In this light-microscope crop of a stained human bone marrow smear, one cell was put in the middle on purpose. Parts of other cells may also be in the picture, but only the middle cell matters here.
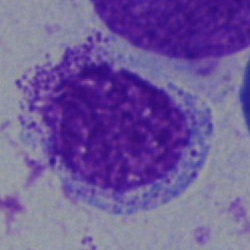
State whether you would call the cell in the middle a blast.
no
